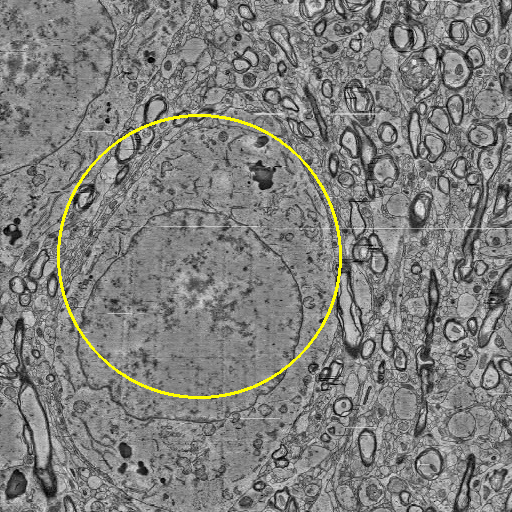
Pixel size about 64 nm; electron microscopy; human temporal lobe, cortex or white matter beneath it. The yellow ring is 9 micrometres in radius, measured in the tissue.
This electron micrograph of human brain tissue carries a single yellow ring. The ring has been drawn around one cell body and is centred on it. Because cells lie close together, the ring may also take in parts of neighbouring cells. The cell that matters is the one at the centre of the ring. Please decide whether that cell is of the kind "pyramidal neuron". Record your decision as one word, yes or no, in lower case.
yes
